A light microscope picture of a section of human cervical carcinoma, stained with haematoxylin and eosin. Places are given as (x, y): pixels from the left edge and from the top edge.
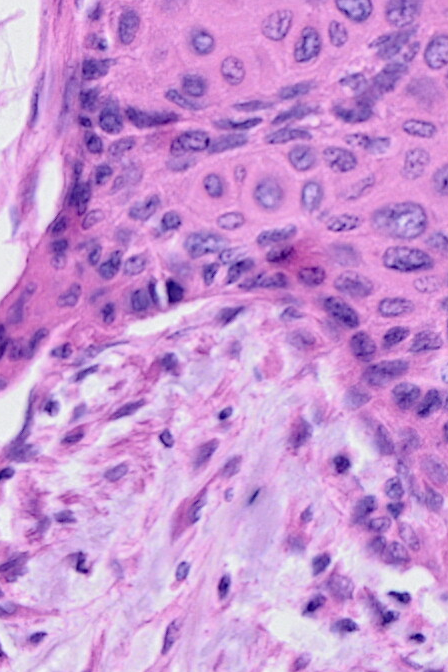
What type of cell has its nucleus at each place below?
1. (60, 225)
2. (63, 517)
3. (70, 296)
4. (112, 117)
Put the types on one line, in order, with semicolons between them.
squamous carcinoma cell; fibroblast; squamous carcinoma cell; squamous carcinoma cell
